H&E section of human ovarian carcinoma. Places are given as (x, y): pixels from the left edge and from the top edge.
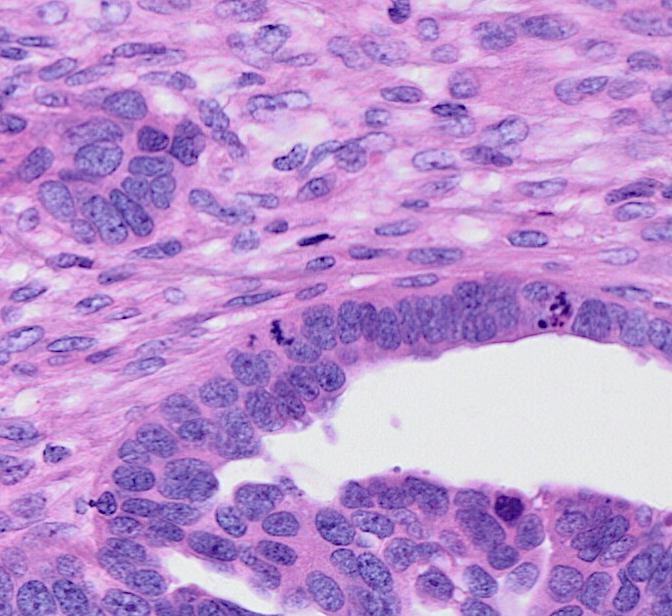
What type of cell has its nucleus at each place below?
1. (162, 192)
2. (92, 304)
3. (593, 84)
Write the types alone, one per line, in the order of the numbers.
carcinoma cell
fibroblast
fibroblast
